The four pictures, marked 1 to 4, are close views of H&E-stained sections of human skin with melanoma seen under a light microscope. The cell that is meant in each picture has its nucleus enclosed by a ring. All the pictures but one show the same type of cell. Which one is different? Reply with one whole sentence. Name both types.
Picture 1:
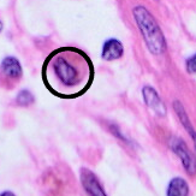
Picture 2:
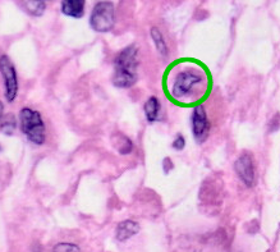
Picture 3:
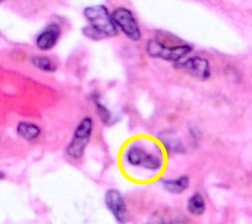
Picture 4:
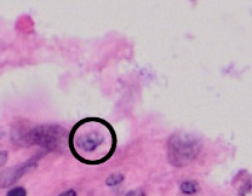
The others show “macrophages or monocytes”, but picture 4 shows a lymphocyte.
